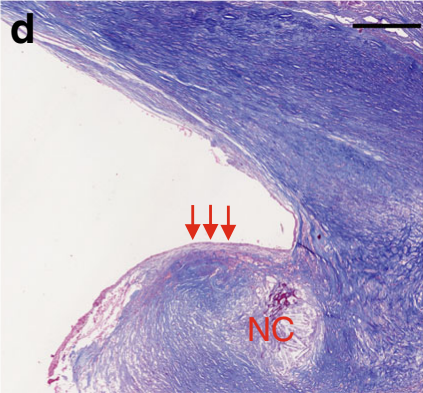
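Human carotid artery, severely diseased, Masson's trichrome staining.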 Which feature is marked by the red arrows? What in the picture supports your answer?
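Fibrous cap. The arrows point to a thin layer at the luminal surface of a bulging plaque. The layer is stained blue with some pink, like fibrous tissue.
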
